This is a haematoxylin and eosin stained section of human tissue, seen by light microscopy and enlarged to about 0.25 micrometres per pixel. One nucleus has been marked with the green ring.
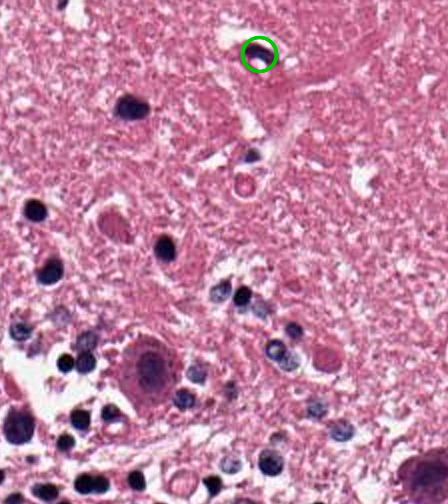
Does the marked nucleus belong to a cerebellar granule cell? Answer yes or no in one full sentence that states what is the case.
No, the marked nucleus, which belongs to a supporting cell, is not part of a cerebellar granule cell.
